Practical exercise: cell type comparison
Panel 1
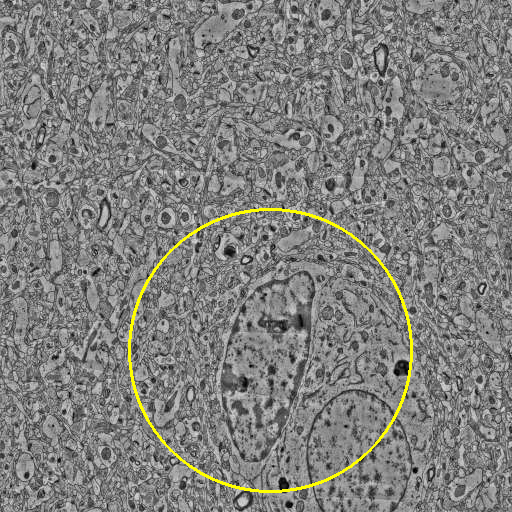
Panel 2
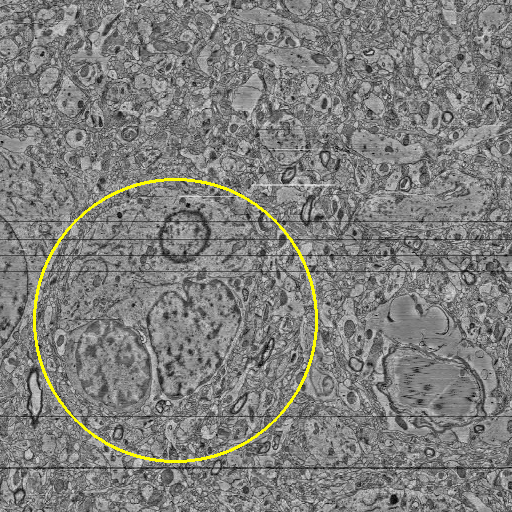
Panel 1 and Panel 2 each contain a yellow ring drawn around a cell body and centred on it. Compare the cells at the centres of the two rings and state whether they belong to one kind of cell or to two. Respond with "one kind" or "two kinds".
one kind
